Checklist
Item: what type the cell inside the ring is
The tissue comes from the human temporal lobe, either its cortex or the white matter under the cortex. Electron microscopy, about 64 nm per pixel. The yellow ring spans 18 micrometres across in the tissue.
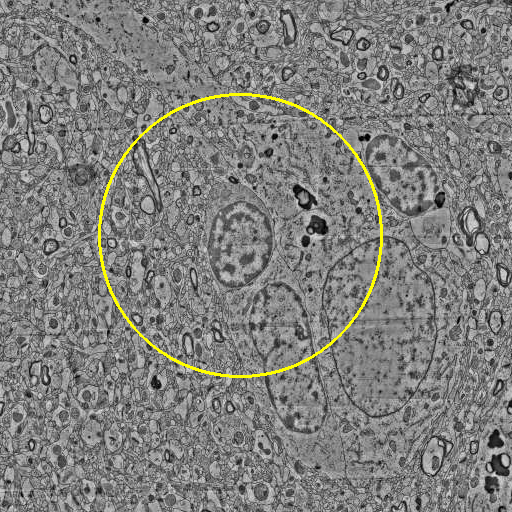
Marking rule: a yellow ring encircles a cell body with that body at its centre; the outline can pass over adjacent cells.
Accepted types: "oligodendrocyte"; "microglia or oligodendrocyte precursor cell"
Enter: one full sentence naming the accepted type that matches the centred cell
The entry is that an oligodendrocyte lies at the centre of the yellow ring.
